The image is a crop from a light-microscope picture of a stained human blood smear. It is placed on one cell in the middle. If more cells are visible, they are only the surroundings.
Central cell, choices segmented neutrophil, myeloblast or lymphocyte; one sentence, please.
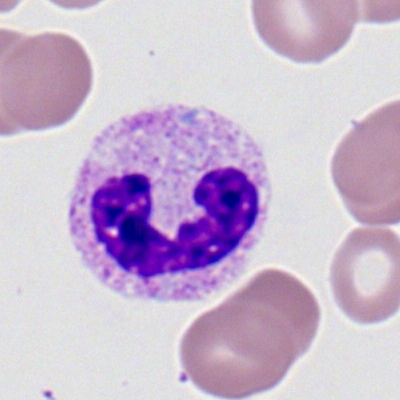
The cell shown in the center of this light-microscope crop is a segmented neutrophil.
